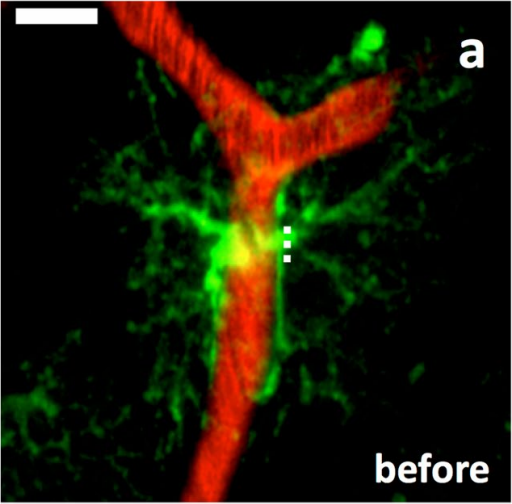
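The cell body lies on the vessel wall near the branch point, and from it radiate many fine, bushy, highly branched processes into the surrounding tissue, giving a spongy, feathery outline. Several thicker processes run along and wrap the vessel, forming endfeet that hug its surface. The red lumen is sharply bounded, with no red haze in the tissue around it, and the vessel divides into two branches toward the top.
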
